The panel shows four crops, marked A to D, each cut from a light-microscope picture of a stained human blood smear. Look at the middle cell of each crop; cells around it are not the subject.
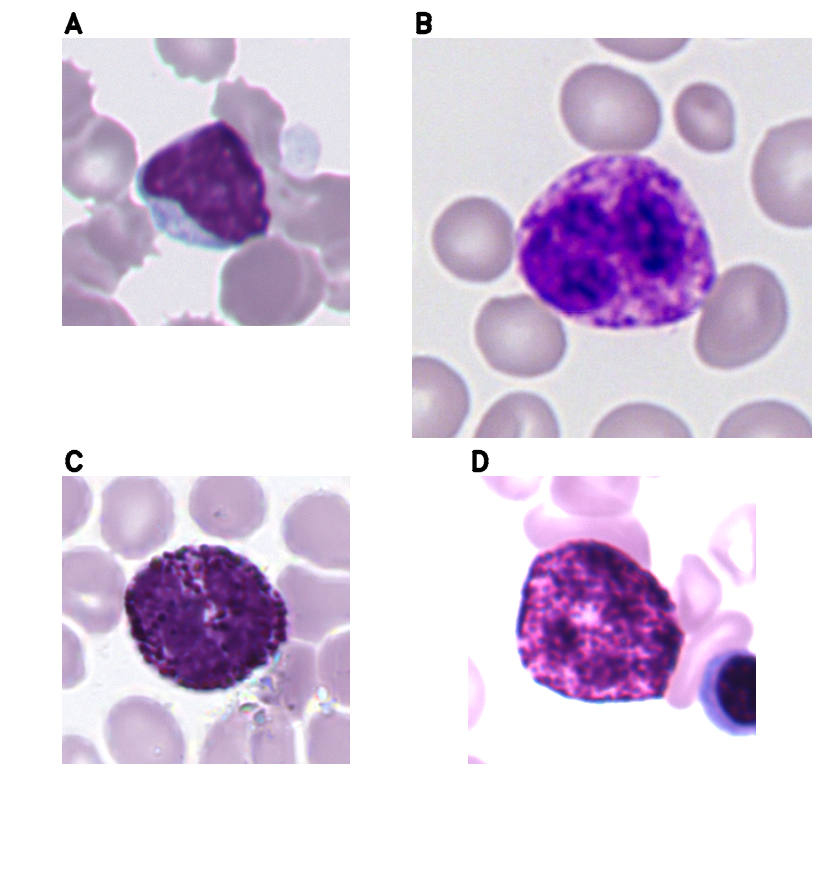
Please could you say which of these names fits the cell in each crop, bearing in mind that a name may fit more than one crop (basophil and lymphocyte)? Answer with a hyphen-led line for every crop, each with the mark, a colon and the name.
- A: lymphocyte
- B: basophil
- C: basophil
- D: basophil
